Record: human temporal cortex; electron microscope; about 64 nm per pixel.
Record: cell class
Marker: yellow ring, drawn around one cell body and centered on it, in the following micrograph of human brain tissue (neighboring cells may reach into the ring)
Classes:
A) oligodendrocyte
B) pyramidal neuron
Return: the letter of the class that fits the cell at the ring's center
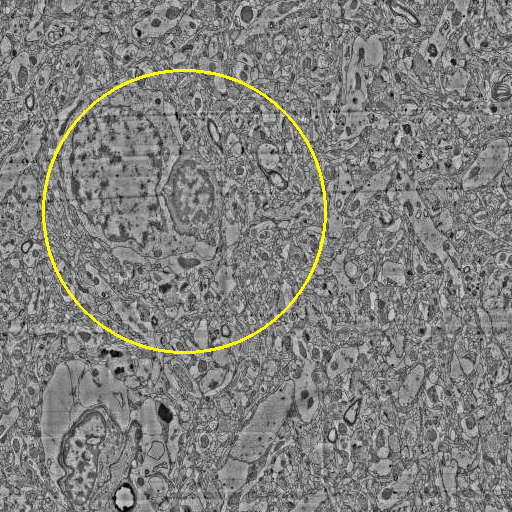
A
